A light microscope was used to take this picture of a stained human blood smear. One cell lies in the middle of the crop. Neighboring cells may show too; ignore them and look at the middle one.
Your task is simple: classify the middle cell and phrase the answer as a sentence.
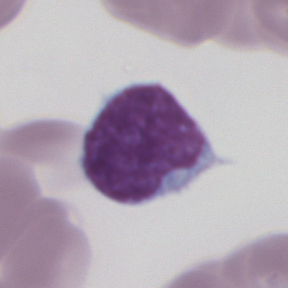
As for the cell in the middle, it is a typical lymphocyte.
